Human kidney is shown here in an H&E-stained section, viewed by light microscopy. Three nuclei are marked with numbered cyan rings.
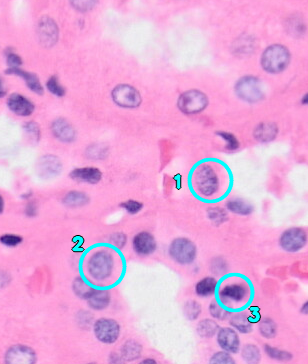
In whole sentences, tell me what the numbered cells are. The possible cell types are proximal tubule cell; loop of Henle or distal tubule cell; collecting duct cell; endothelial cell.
Cell 1 is a loop of Henle or distal tubule cell, cell 2 is a collecting duct cell and cell 3 is a collecting duct cell.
